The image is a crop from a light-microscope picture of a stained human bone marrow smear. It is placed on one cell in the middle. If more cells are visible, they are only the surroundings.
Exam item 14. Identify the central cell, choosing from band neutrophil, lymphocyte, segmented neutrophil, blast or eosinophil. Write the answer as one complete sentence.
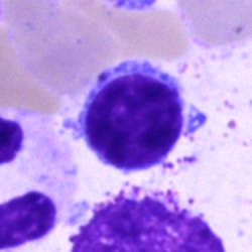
In the central position of this crop, the cell is a lymphocyte.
